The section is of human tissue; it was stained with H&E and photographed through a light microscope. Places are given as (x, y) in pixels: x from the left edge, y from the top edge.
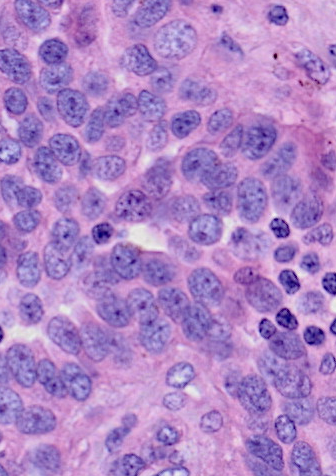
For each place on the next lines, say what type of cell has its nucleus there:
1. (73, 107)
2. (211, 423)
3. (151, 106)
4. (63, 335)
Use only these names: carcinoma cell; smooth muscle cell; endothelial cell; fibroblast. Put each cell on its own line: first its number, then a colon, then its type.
1: carcinoma cell
2: fibroblast
3: carcinoma cell
4: carcinoma cell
